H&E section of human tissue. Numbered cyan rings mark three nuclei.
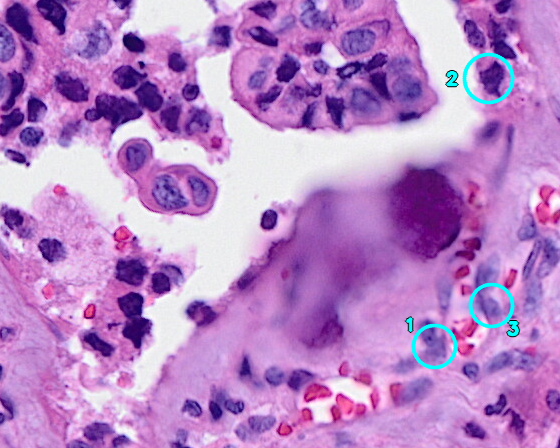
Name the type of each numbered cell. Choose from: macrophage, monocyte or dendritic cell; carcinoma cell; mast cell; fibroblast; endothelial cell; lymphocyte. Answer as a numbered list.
1. endothelial cell
2. carcinoma cell
3. endothelial cell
